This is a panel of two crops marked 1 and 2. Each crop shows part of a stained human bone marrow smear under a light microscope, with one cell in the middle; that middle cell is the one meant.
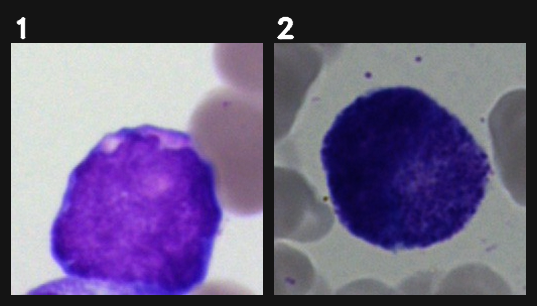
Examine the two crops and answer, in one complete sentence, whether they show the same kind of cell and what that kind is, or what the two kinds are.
No, crop 1 contains a blast, and crop 2 contains a promyelocyte.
